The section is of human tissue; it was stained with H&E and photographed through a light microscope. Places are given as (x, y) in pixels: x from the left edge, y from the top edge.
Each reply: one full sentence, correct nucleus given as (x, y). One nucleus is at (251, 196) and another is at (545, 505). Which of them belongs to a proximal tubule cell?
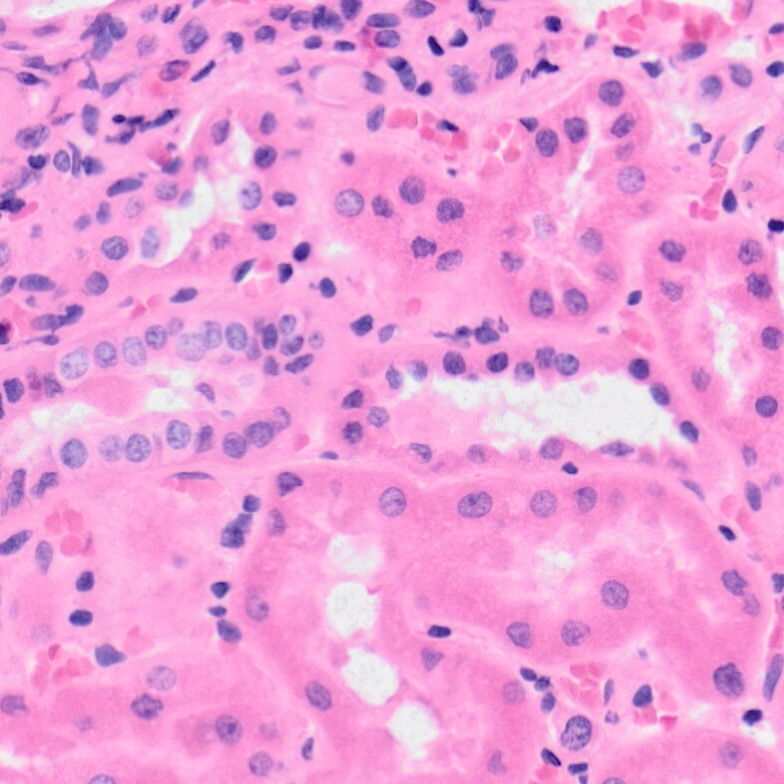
Identified as belonging to a proximal tubule cell is the nucleus at (545, 505).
